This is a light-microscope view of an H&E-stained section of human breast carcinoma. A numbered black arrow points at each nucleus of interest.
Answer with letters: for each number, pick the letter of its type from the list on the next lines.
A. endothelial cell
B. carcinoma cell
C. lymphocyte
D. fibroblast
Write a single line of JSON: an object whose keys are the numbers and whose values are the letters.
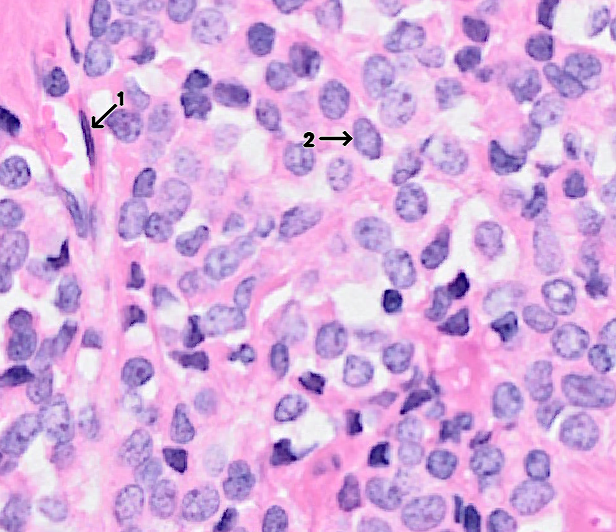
{"1": "A", "2": "B"}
